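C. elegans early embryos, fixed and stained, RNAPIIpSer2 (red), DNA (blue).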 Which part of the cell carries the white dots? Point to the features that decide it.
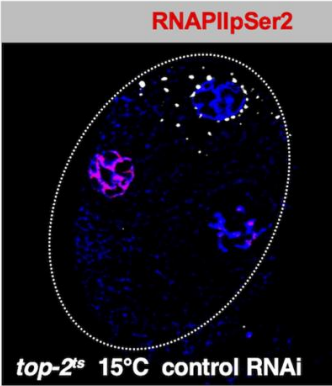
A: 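Small bright white dots cluster around the rim of one nucleus. Few white dots lie elsewhere in the embryo.
Answer: P granules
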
